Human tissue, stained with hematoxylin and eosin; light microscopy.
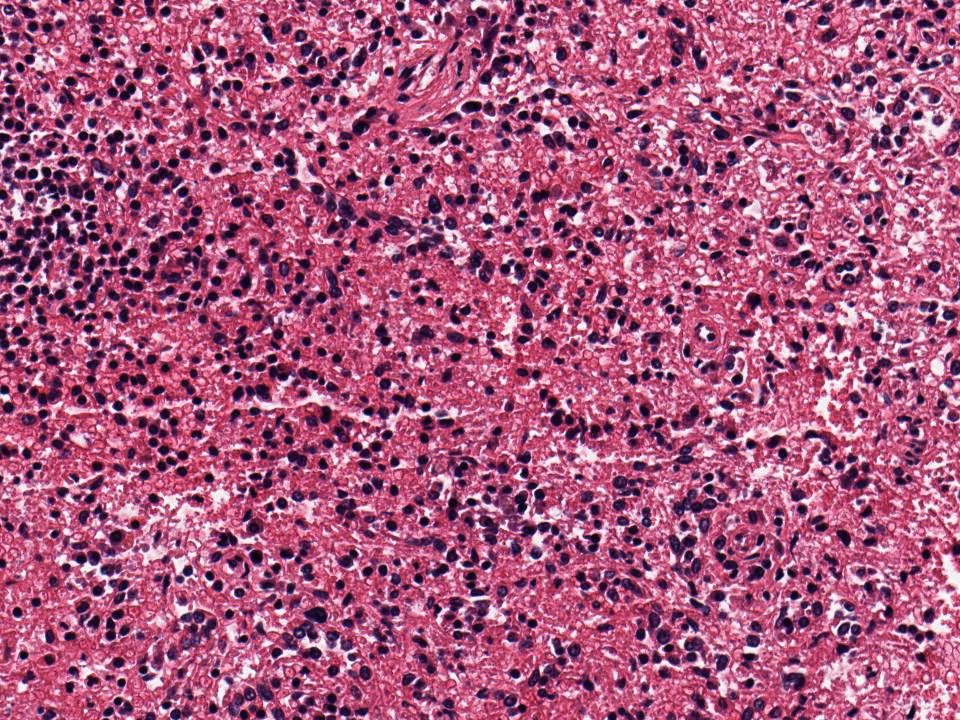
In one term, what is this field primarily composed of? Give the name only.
red pulp of the spleen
